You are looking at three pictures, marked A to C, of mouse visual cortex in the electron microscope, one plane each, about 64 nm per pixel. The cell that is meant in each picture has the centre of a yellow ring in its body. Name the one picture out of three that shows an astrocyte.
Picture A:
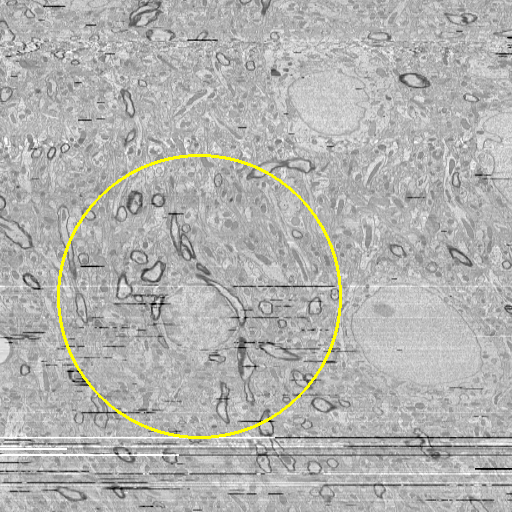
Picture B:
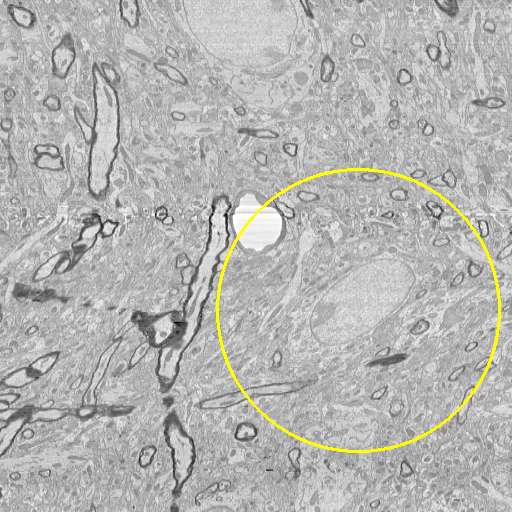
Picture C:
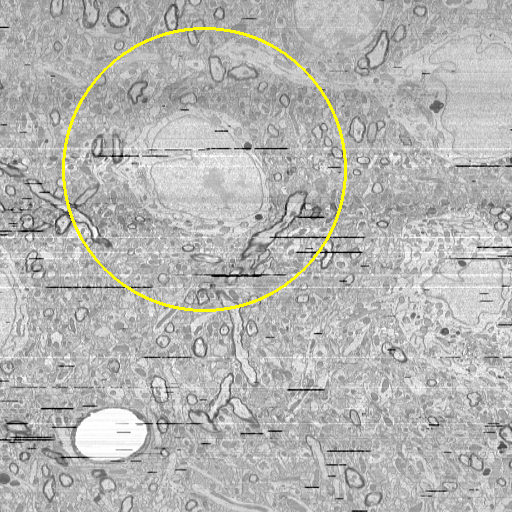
It is picture B that shows the astrocyte.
